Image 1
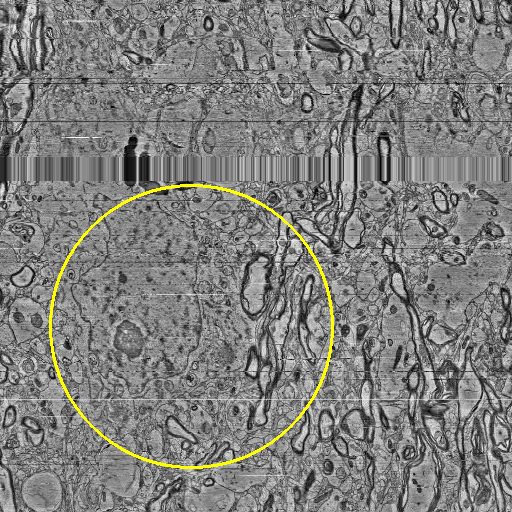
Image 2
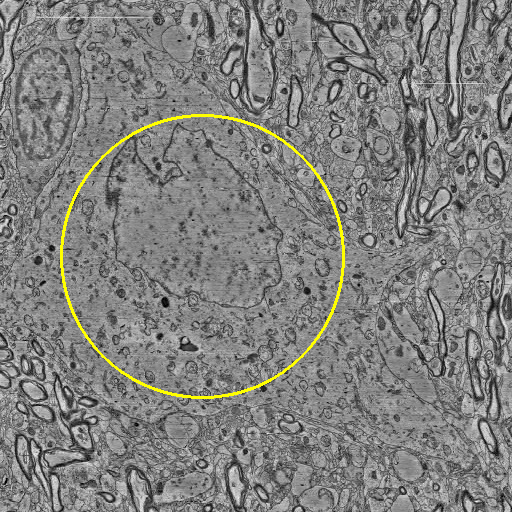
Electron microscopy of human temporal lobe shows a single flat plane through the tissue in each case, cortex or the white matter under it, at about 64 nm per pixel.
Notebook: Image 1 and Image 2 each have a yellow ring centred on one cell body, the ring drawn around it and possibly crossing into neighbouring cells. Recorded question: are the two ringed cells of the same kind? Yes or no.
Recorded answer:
yes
